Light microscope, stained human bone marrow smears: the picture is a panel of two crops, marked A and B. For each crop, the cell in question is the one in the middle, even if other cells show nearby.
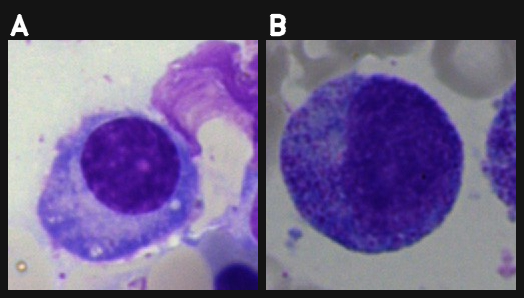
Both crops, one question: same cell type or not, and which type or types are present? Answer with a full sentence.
No, crop A shows a plasma cell and crop B a promyelocyte.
